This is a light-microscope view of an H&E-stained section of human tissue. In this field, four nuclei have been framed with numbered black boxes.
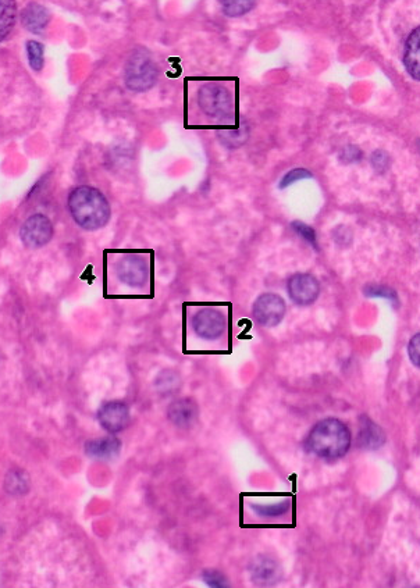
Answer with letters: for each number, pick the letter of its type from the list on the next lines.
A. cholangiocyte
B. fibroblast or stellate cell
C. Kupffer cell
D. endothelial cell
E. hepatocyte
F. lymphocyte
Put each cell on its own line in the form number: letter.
1: D
2: E
3: E
4: E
